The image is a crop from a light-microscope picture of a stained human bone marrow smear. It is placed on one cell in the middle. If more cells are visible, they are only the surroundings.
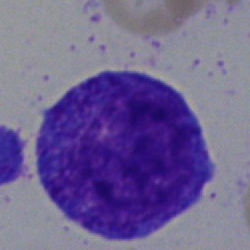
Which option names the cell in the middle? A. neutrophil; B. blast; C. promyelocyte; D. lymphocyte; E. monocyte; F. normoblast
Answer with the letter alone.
C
